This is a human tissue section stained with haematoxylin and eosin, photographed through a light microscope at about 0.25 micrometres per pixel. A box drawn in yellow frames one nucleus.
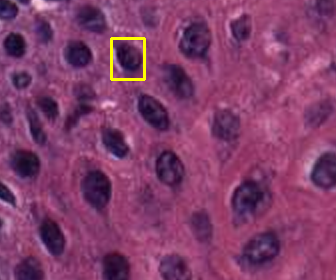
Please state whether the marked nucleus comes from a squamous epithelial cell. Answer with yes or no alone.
yes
